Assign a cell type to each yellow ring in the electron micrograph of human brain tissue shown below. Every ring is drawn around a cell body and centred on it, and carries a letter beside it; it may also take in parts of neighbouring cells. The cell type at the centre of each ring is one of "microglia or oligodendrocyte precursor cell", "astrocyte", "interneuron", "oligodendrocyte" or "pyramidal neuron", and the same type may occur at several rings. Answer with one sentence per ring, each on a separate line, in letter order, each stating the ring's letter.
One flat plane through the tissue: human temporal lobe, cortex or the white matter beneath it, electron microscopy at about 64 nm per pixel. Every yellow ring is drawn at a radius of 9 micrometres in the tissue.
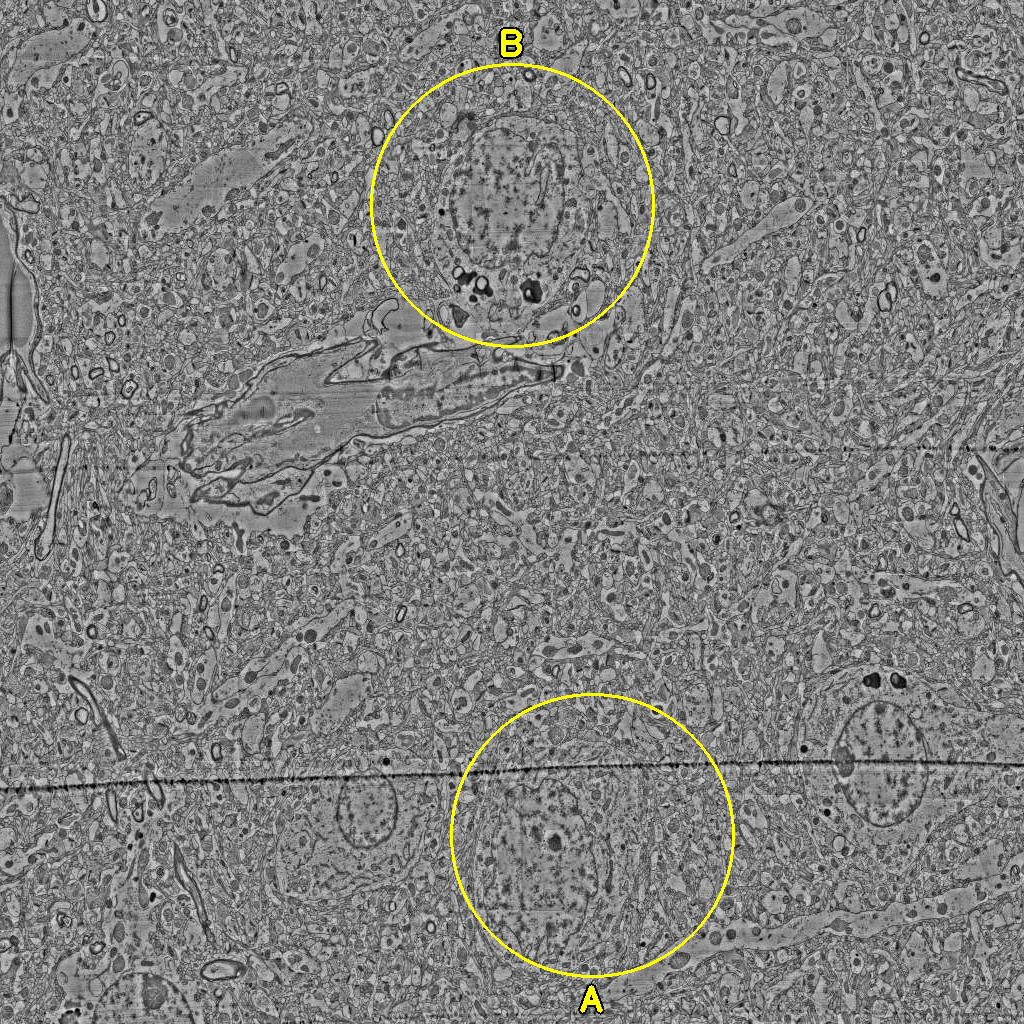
The cell at ring A's centre is an interneuron.
The cell at ring B's centre is an interneuron.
